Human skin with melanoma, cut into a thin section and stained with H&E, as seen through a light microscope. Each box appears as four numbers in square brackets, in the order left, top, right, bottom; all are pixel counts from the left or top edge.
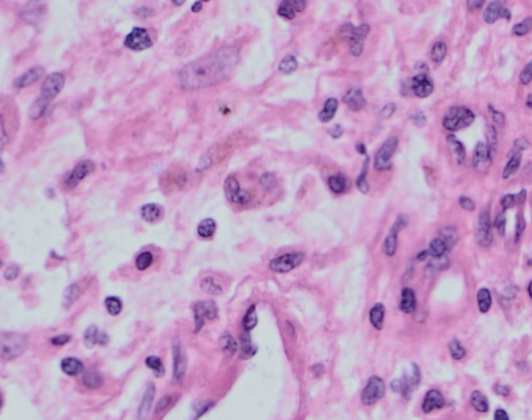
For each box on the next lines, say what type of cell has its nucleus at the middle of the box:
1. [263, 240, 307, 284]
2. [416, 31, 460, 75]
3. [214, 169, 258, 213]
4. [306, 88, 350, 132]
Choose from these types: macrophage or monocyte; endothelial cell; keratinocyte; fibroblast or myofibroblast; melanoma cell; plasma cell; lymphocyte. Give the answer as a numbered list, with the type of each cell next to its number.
1. macrophage or monocyte
2. macrophage or monocyte
3. macrophage or monocyte
4. lymphocyte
